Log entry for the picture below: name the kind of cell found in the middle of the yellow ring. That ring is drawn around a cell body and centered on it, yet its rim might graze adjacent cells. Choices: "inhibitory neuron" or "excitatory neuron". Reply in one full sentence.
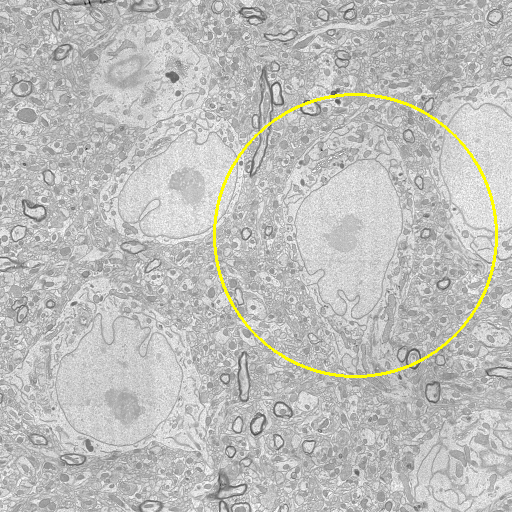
The cell in the middle of the yellow ring in this picture is an inhibitory neuron.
